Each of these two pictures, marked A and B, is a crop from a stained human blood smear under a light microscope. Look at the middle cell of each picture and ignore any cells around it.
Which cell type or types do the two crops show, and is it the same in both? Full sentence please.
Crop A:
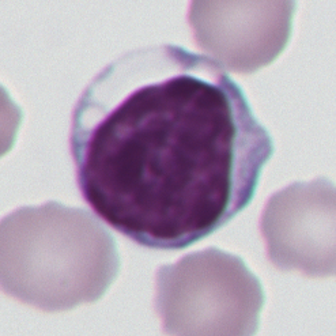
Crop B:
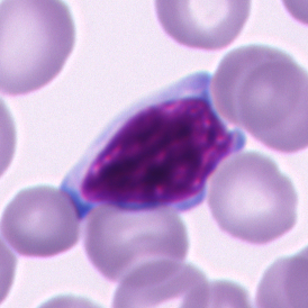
Yes, the cells centred in the two crops are both typical lymphocytes.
